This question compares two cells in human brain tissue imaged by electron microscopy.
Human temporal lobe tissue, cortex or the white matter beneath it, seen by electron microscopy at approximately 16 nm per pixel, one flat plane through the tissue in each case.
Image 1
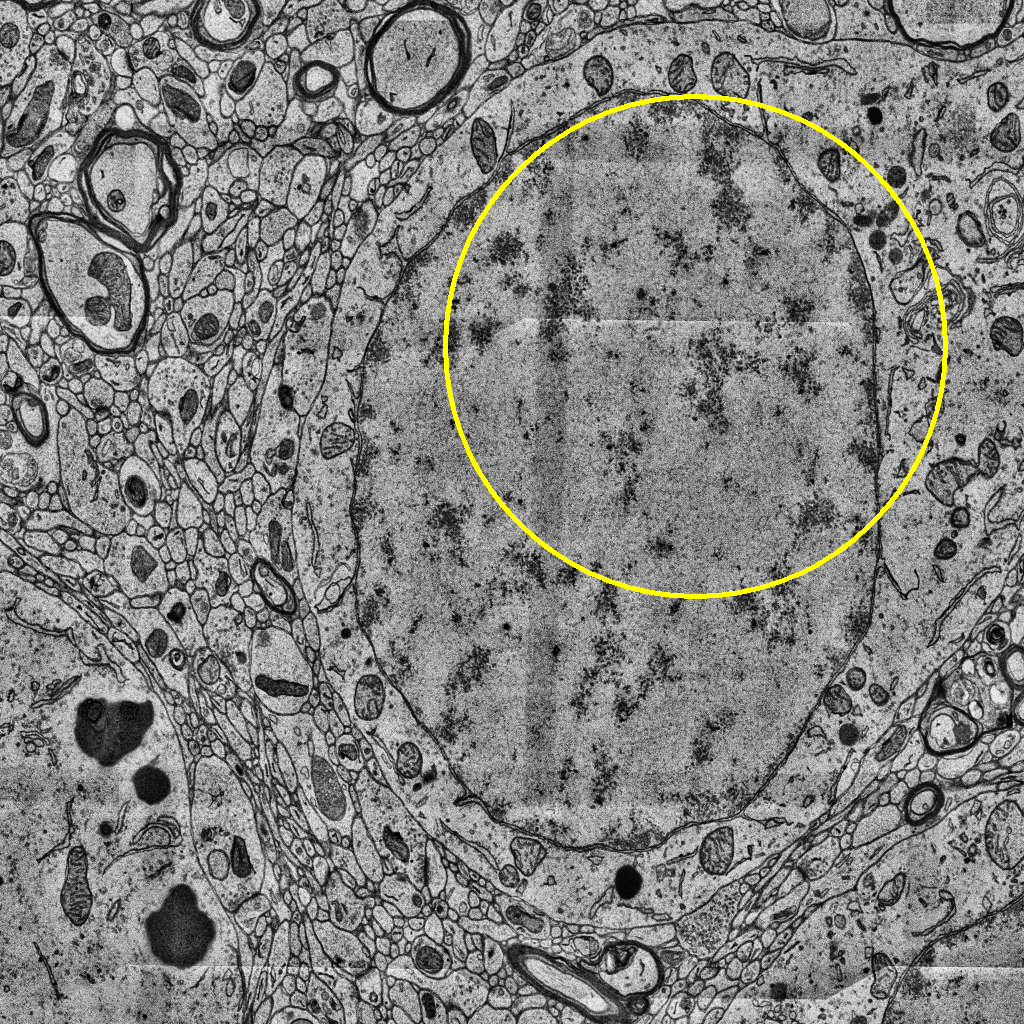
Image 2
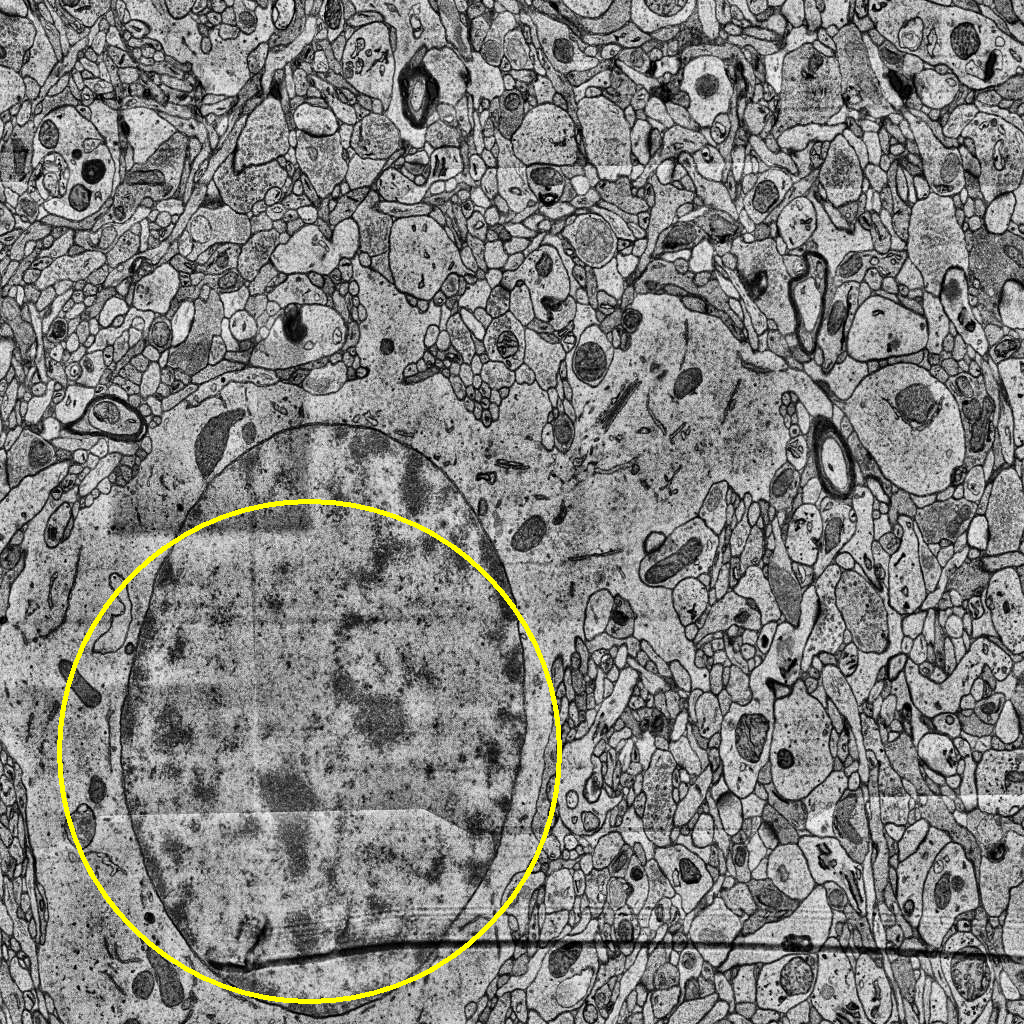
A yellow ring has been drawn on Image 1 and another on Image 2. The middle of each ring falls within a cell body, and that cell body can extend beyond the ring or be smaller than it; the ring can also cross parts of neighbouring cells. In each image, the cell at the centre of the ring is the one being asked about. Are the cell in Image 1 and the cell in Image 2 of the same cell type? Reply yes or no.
no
